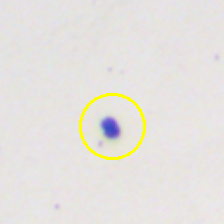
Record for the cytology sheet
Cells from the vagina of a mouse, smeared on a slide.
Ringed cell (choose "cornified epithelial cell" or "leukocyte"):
leukocyte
